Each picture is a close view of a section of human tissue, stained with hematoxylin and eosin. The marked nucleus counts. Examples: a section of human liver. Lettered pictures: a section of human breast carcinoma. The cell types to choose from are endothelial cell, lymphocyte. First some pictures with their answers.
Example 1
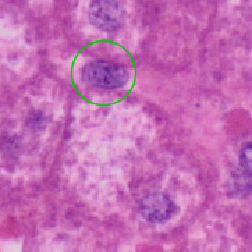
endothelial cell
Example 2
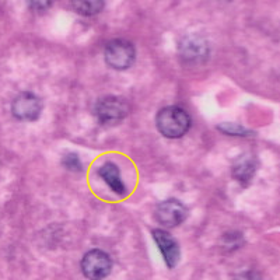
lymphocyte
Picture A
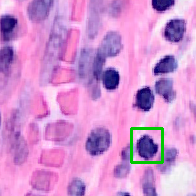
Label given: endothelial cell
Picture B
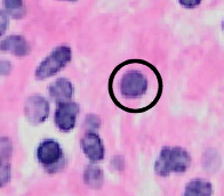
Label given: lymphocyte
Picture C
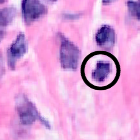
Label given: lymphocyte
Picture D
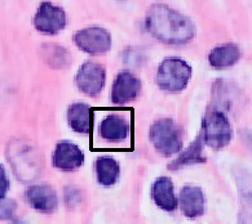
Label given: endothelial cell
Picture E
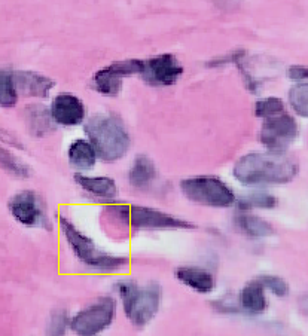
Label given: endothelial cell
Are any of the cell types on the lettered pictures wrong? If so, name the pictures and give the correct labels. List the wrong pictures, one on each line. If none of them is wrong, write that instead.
Wrong: A (endothelial cell); correct: lymphocyte
Wrong: D (endothelial cell); correct: lymphocyte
